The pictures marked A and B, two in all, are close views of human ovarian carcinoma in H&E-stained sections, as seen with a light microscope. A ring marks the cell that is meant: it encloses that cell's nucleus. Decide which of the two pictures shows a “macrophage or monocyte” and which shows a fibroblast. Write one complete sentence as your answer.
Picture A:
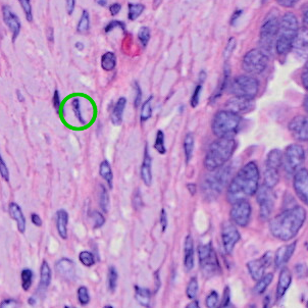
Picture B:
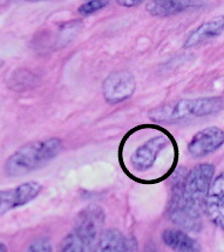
The cell in picture A is a fibroblast, and the one in picture B is a “macrophage or monocyte”.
